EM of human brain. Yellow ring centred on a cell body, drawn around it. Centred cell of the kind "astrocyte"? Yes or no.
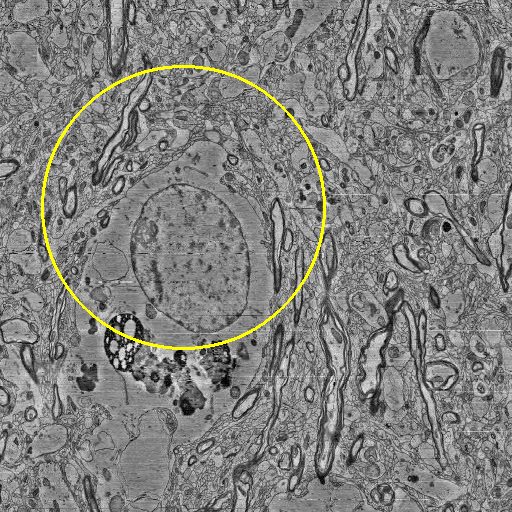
yes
